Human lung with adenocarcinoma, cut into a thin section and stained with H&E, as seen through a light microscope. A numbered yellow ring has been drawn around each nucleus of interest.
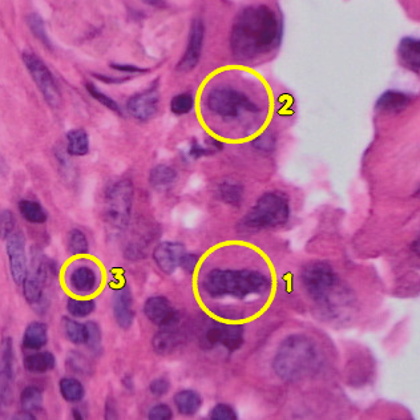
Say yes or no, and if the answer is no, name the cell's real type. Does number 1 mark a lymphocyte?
No, it is a carcinoma cell.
